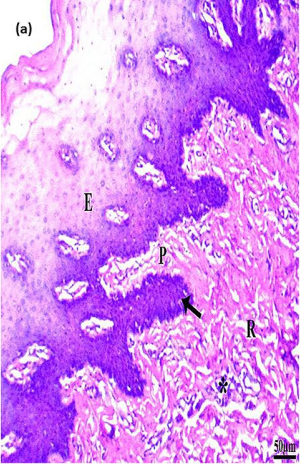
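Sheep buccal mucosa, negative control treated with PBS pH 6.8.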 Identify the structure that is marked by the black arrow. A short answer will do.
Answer: rete pegs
